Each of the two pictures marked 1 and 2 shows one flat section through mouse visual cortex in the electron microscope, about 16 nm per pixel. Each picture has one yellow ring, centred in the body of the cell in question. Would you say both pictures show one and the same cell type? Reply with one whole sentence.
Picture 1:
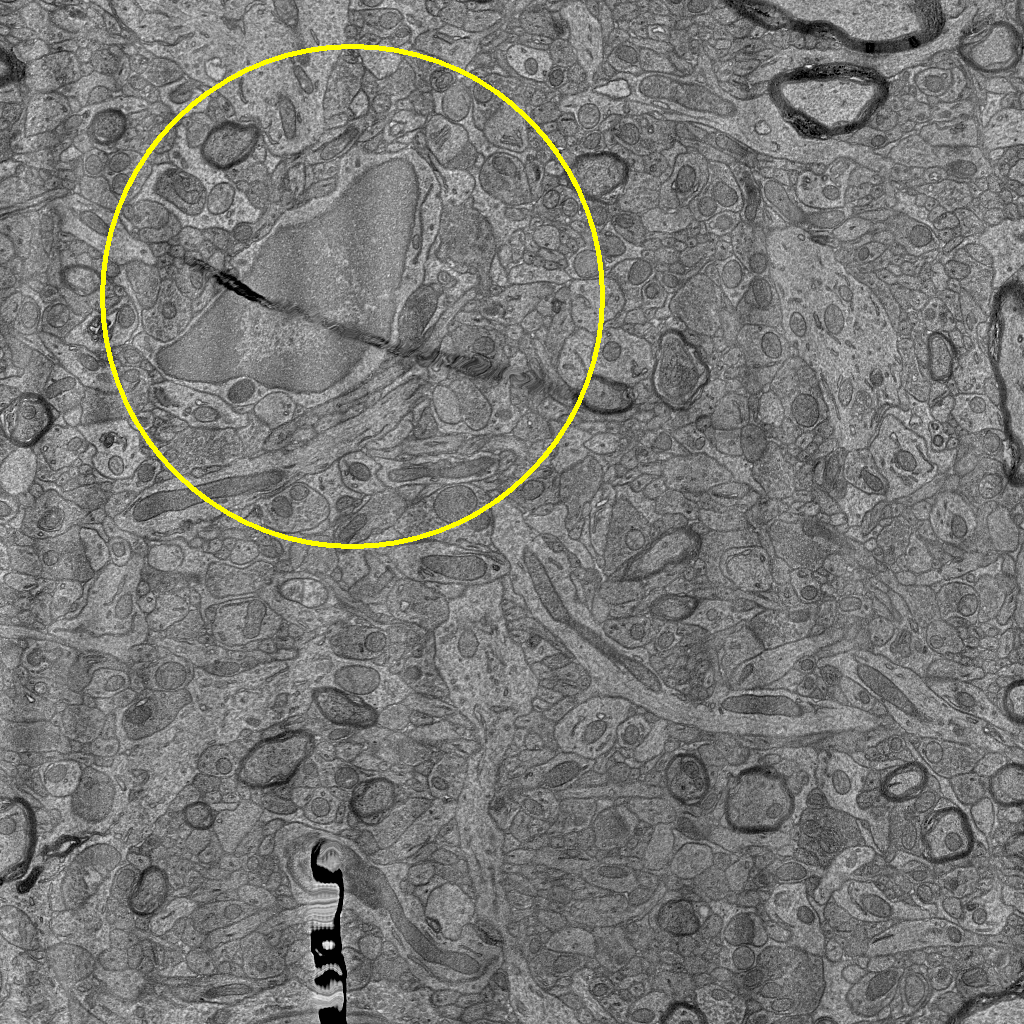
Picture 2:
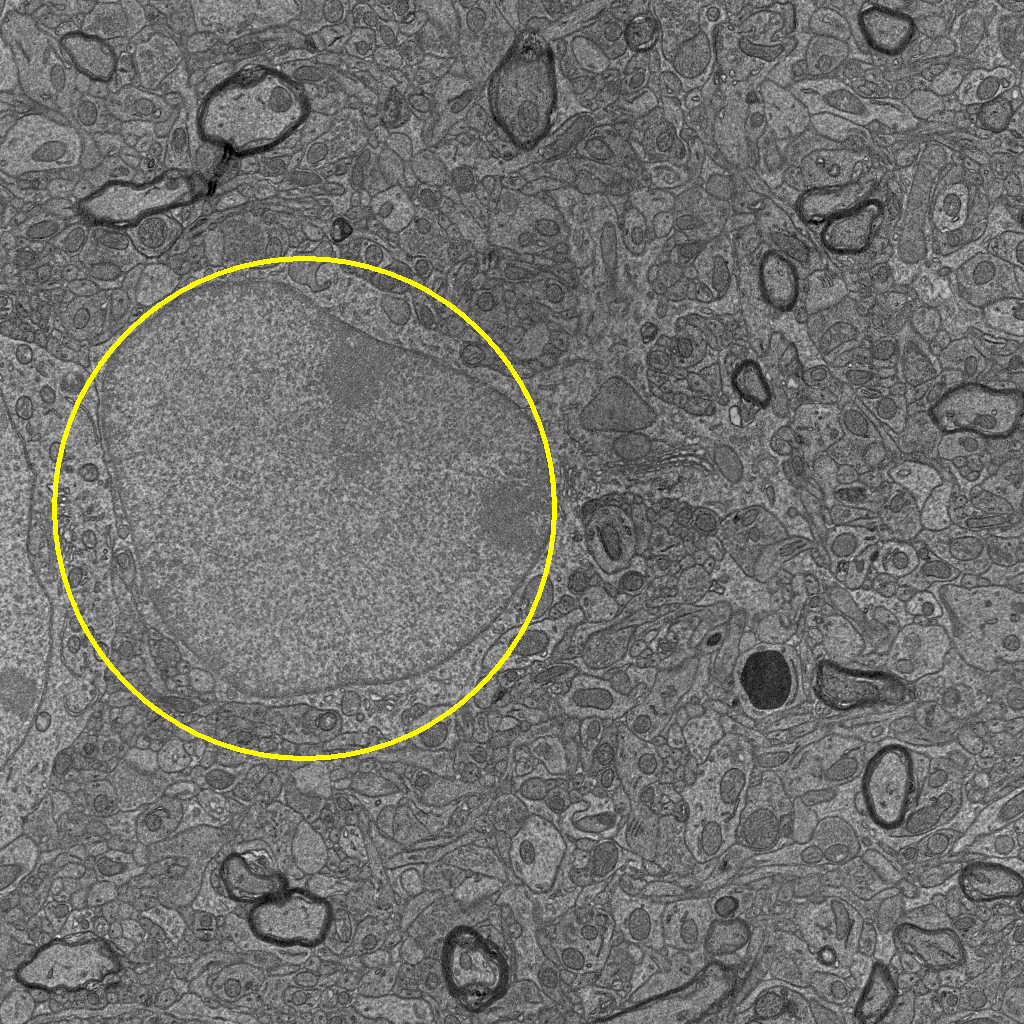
No, they differ: the cell is a microglial cell in picture 1 and an astrocyte in picture 2.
